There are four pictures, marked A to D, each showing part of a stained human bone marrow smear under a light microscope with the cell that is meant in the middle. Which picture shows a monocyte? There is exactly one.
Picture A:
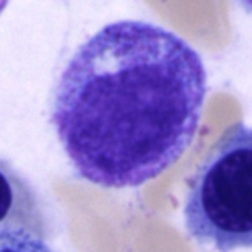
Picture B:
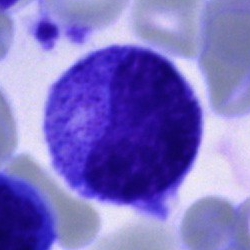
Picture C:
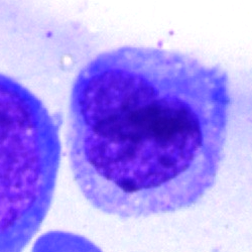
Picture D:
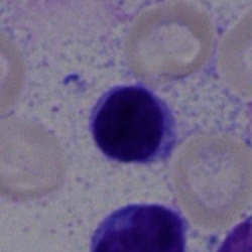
C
